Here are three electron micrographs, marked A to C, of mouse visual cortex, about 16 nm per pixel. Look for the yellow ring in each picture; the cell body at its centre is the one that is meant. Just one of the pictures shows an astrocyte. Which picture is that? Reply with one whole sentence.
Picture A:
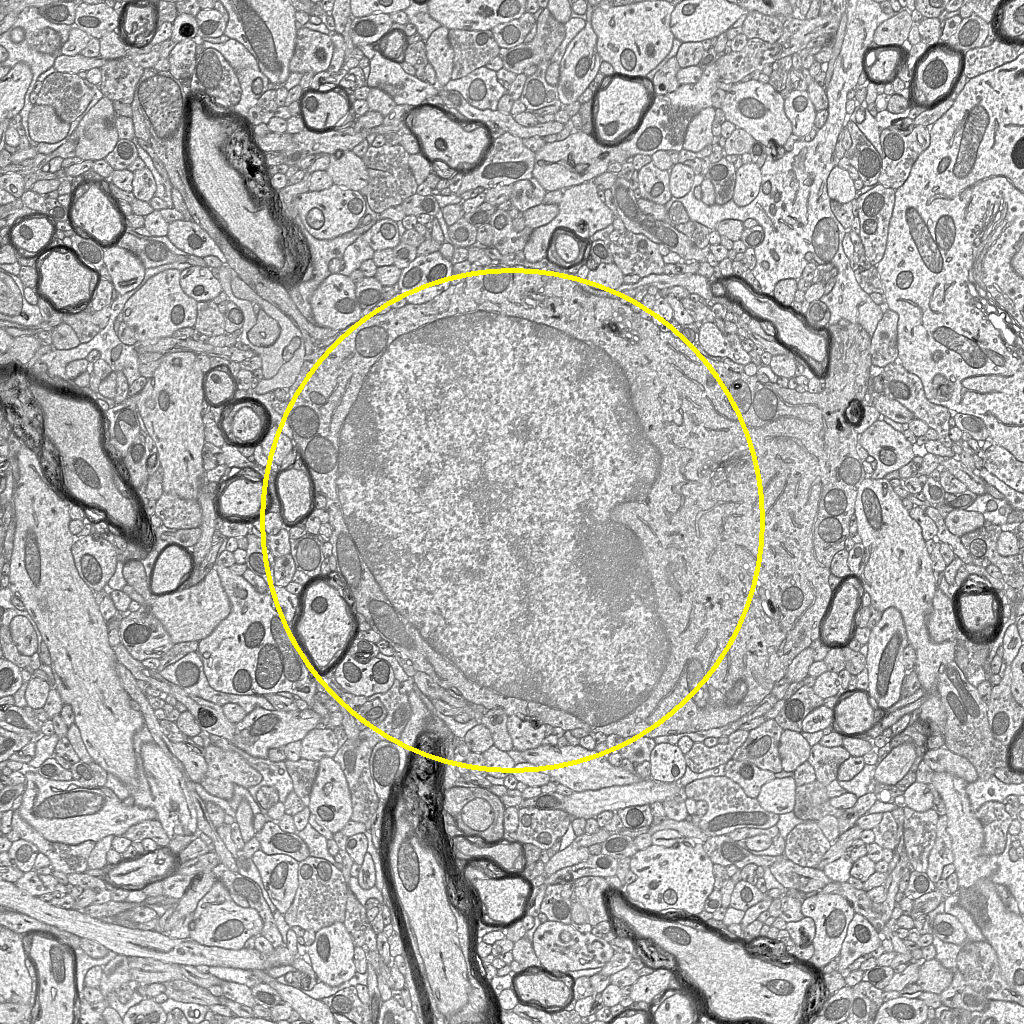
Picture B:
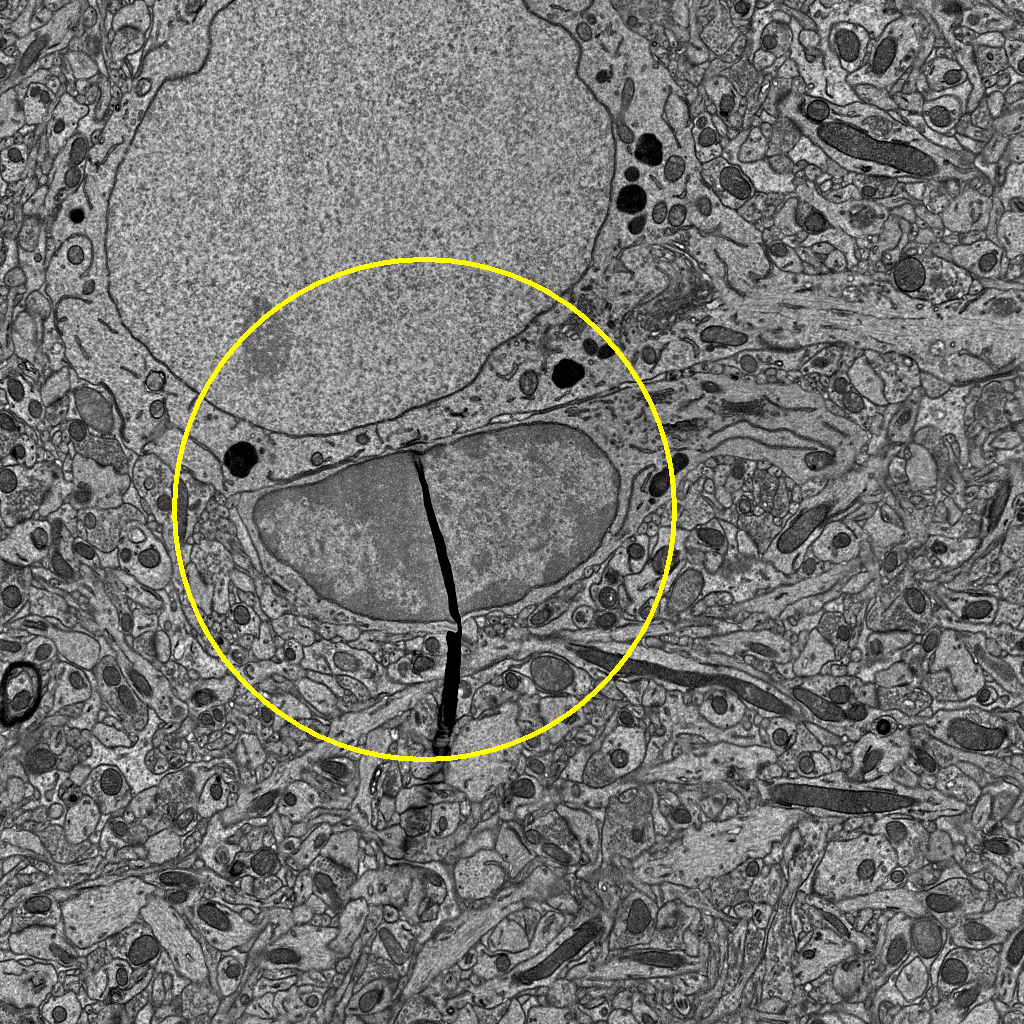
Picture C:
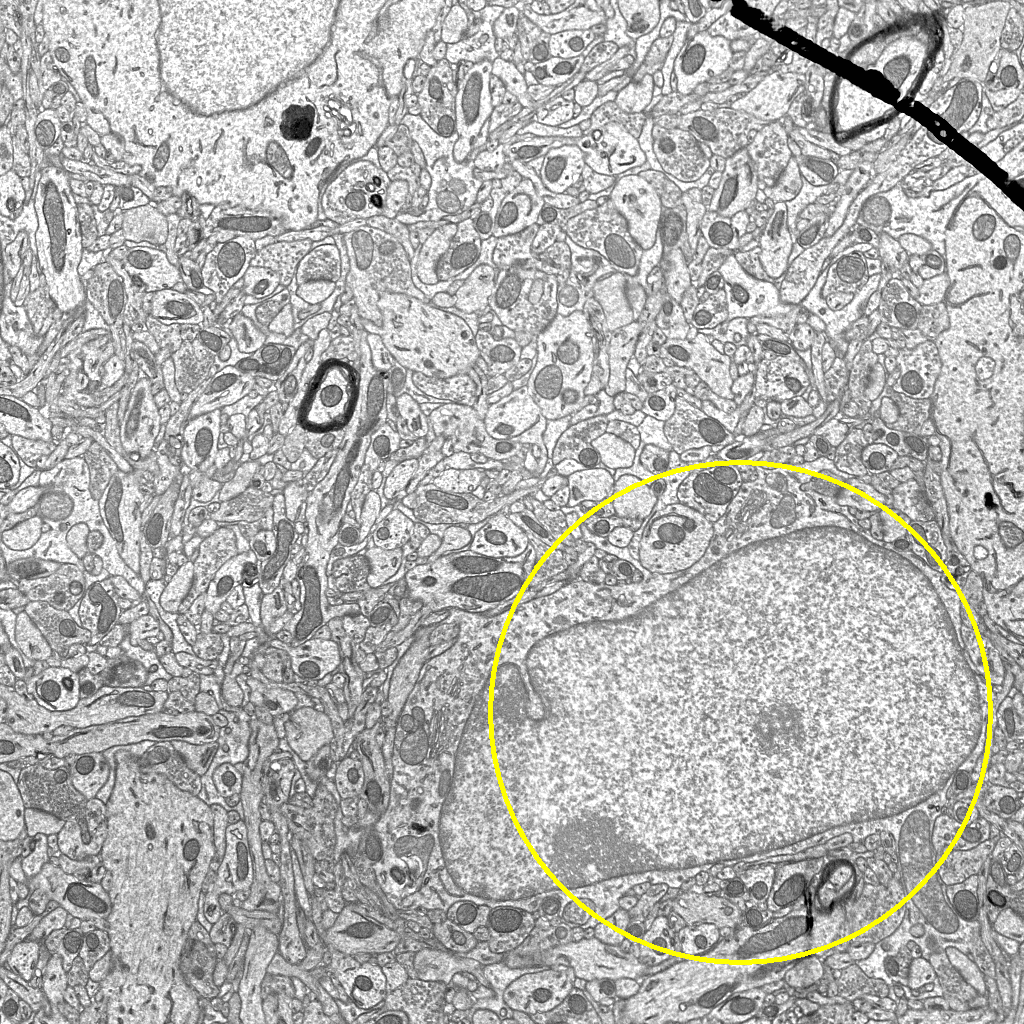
Picture C shows the astrocyte.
